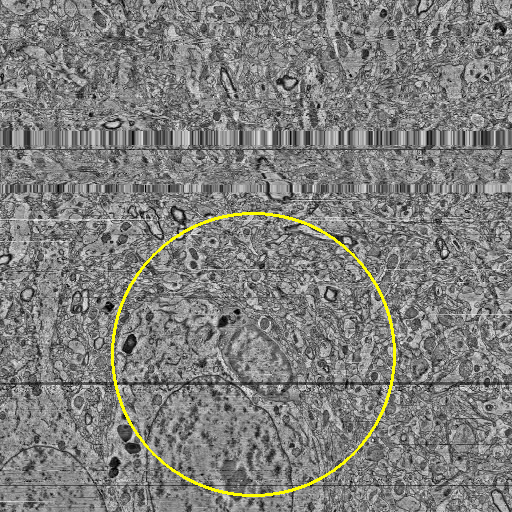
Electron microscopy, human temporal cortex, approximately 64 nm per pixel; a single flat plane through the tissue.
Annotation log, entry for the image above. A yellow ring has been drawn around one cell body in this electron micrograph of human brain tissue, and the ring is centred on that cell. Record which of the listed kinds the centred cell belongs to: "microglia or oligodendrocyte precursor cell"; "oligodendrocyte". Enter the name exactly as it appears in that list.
oligodendrocyte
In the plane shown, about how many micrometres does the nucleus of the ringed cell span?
In this plane the nucleus is clearly longer than it is wide, at approximately 5 by 3 micrometres.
